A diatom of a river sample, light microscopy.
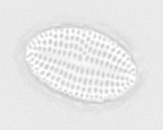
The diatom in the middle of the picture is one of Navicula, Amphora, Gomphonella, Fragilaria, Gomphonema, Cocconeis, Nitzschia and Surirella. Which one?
Cocconeis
